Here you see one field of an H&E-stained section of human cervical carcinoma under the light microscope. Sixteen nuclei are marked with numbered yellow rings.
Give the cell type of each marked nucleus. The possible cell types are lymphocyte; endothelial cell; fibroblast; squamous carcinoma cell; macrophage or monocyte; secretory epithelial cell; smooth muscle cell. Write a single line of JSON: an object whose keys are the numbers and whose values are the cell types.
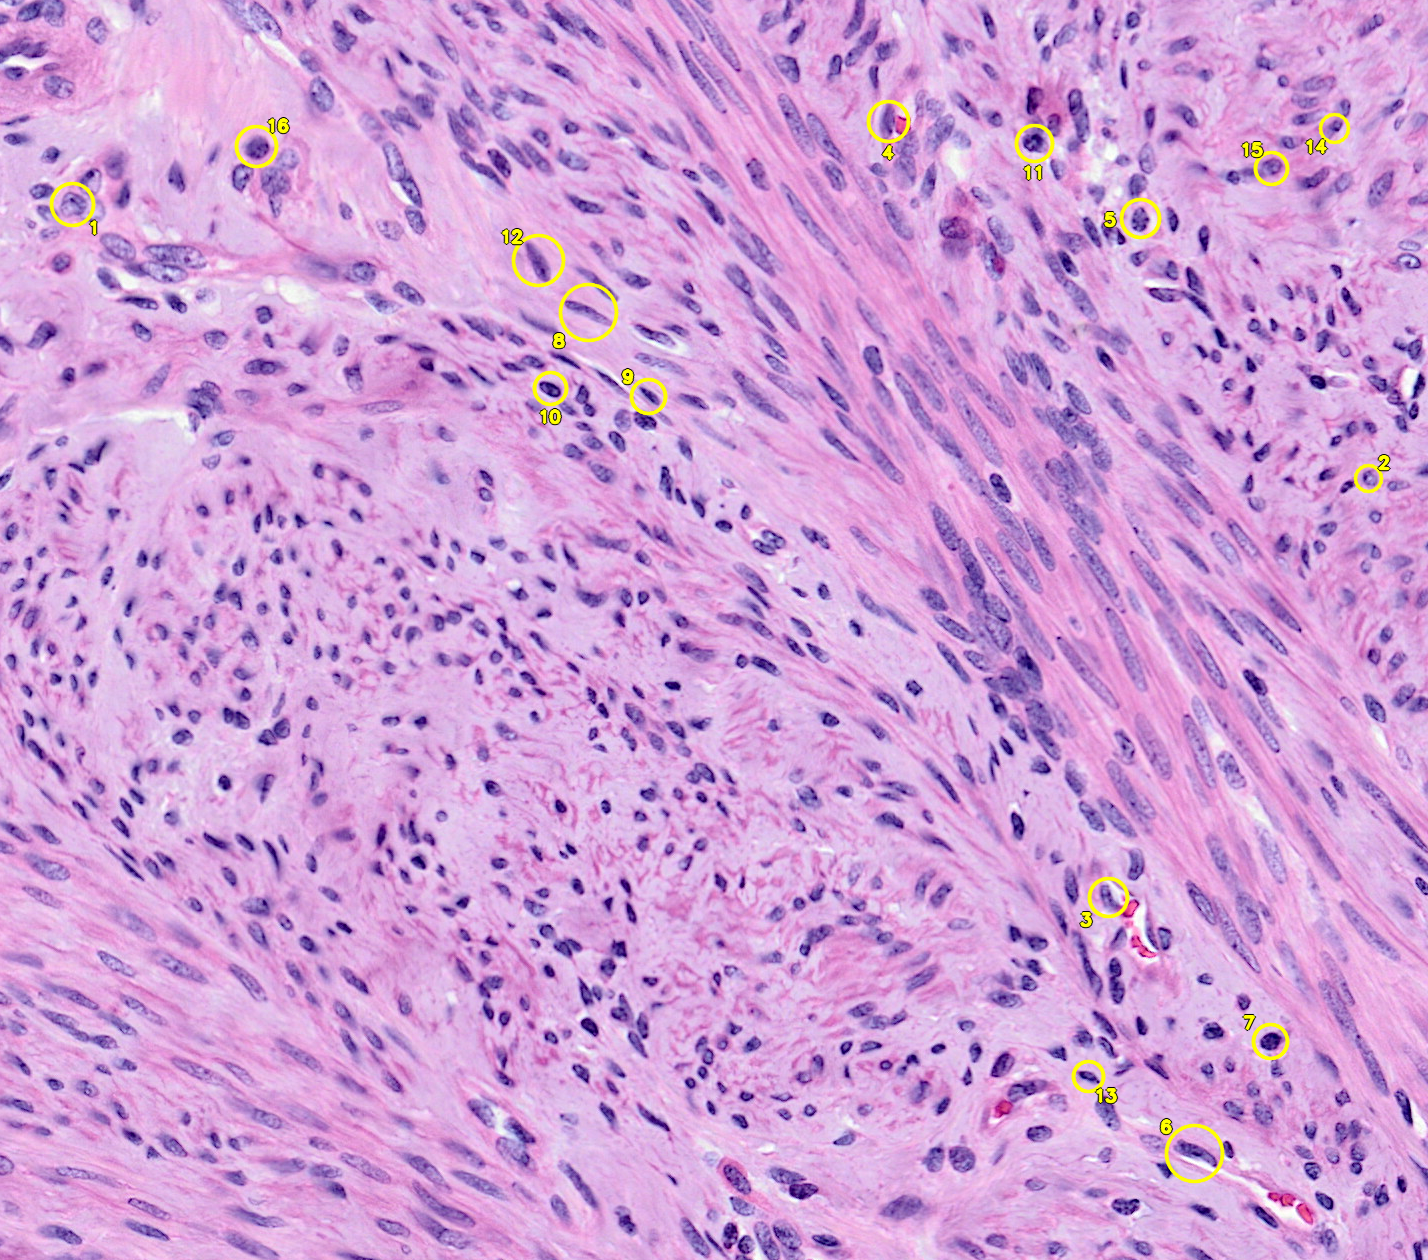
{"1": "endothelial cell", "2": "smooth muscle cell", "3": "endothelial cell", "4": "endothelial cell", "5": "lymphocyte", "6": "endothelial cell", "7": "lymphocyte", "8": "fibroblast", "9": "fibroblast", "10": "lymphocyte", "11": "lymphocyte", "12": "fibroblast", "13": "fibroblast", "14": "smooth muscle cell", "15": "smooth muscle cell", "16": "lymphocyte"}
